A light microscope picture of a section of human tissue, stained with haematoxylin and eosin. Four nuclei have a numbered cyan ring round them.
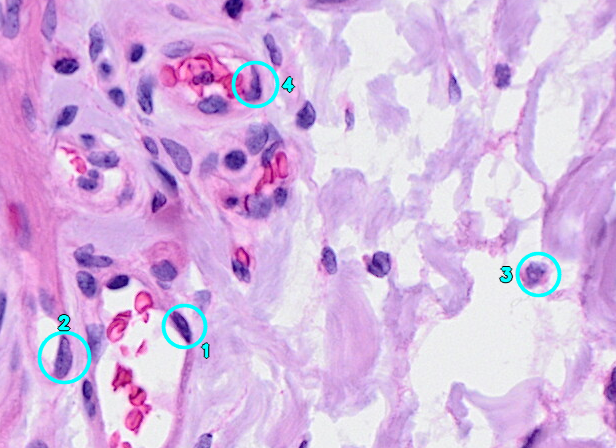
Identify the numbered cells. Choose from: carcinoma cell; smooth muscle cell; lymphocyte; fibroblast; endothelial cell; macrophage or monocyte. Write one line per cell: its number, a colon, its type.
1: endothelial cell
2: endothelial cell
3: macrophage or monocyte
4: endothelial cell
